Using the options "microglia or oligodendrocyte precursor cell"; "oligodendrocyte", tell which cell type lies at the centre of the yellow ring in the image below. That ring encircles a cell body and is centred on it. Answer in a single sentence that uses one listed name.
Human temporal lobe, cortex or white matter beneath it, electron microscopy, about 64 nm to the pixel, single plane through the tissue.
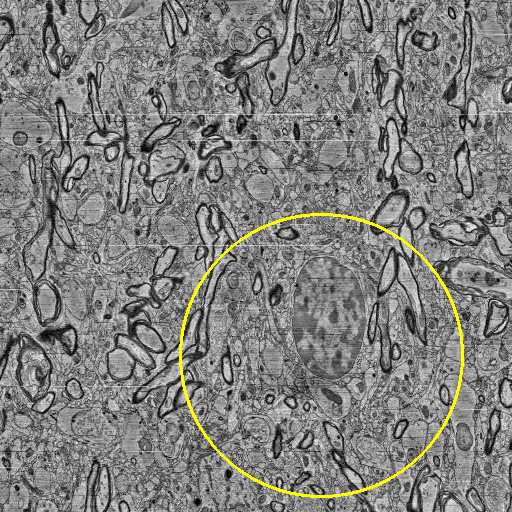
At the centre of the yellow ring lies the body of a microglial cell or oligodendrocyte precursor cell.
